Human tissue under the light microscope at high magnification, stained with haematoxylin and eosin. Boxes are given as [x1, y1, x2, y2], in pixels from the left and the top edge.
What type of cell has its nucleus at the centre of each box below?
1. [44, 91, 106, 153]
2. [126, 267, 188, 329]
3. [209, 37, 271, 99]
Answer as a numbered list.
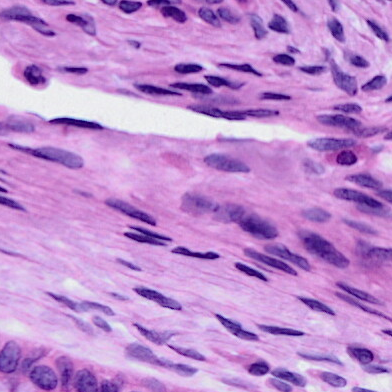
1. endothelial cell
2. fibroblast
3. fibroblast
